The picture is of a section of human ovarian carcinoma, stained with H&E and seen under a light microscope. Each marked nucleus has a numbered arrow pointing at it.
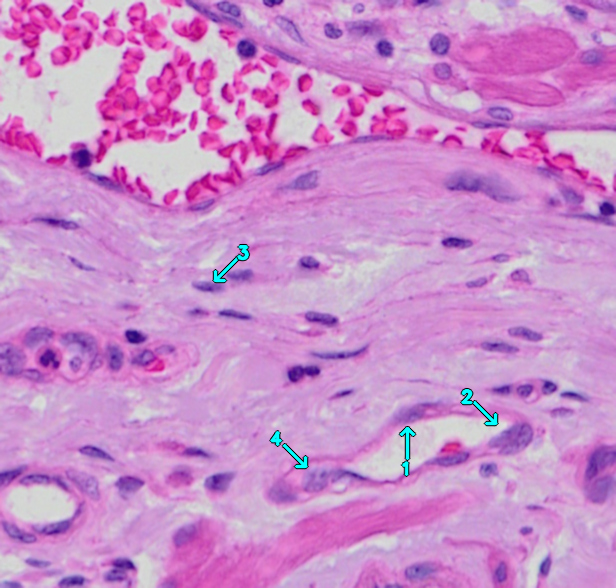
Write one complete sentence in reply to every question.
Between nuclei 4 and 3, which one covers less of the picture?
Nucleus 3 covers less area, with nucleus 4 about 2 times as large.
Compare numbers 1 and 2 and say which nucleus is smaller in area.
Nucleus 1 covers less area, with nucleus 2 about 2 times as large.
